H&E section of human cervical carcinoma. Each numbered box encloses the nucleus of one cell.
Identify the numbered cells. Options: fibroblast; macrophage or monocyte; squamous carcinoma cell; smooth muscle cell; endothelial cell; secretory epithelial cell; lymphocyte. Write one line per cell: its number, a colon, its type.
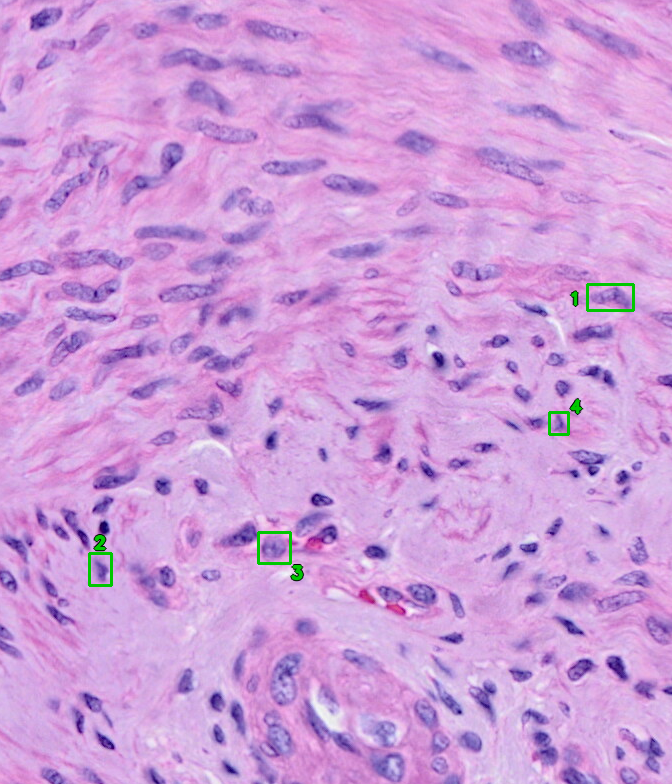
1: smooth muscle cell
2: fibroblast
3: endothelial cell
4: smooth muscle cell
